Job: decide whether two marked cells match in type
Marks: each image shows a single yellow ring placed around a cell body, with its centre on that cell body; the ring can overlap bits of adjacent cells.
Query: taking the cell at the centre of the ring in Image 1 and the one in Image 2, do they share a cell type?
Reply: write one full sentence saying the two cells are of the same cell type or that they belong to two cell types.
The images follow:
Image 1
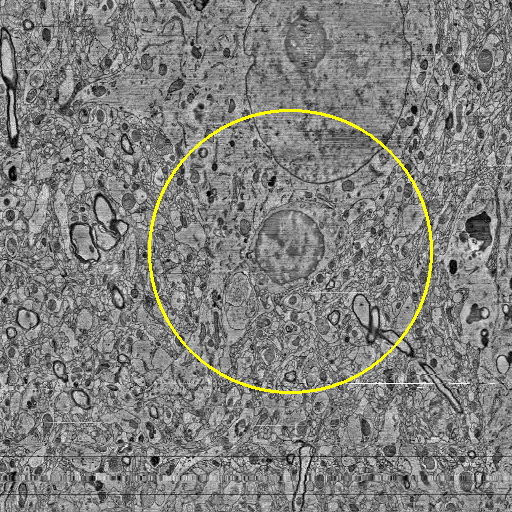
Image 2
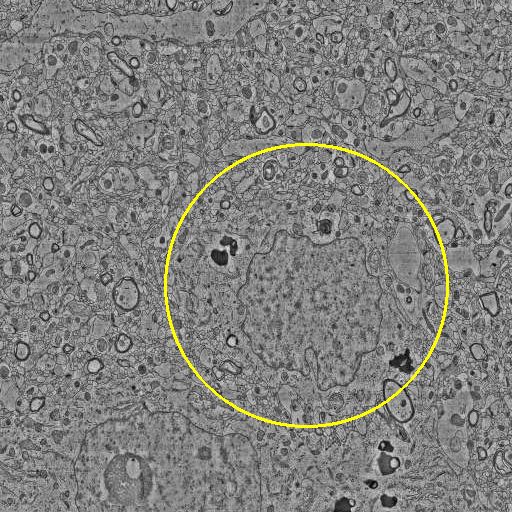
The cells at the ring centres in Image 1 and Image 2 belong to two cell types.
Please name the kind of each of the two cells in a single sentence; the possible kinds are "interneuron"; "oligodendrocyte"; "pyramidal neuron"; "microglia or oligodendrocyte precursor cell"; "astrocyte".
In the first picture the ring is centred on an oligodendrocyte, and in the second on a pyramidal neuron.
